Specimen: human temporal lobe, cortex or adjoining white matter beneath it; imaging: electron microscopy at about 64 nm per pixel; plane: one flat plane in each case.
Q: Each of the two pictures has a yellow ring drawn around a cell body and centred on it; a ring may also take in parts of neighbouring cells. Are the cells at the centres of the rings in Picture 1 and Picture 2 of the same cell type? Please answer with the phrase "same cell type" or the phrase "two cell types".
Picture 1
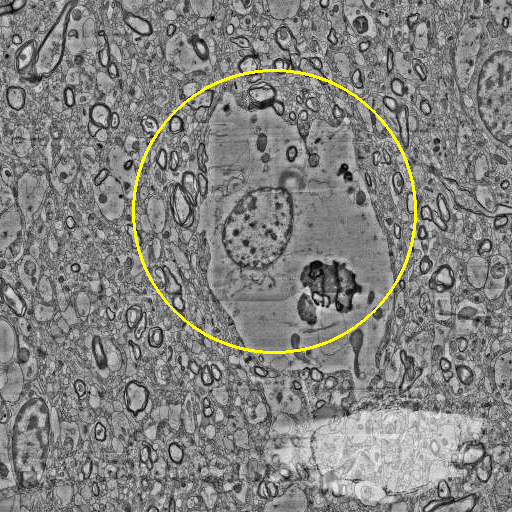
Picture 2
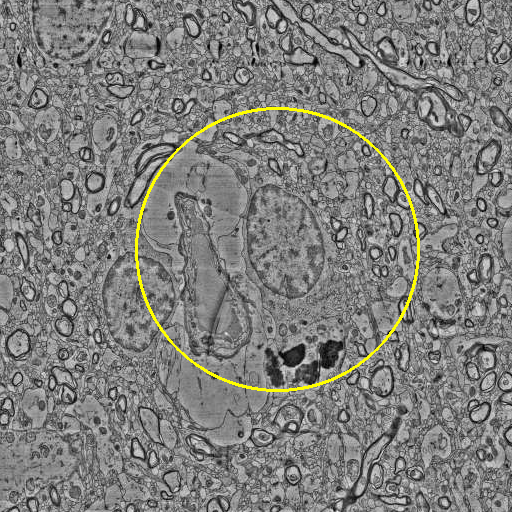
two cell types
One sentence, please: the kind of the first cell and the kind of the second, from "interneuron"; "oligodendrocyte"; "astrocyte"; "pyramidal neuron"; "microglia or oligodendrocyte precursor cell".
The ring in the first picture surrounds an astrocyte, and the ring in the second surrounds an oligodendrocyte.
